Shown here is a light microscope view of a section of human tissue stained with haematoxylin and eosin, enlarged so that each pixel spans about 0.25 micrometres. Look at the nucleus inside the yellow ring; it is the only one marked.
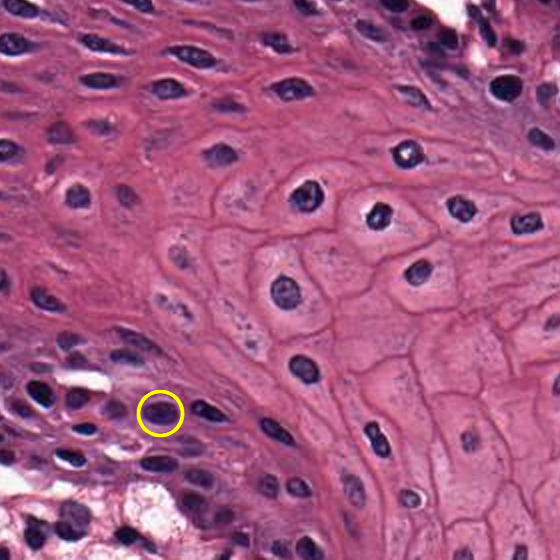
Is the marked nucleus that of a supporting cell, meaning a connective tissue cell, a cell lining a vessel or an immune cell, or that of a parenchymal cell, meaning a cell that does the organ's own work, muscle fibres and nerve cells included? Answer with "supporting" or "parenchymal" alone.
parenchymal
